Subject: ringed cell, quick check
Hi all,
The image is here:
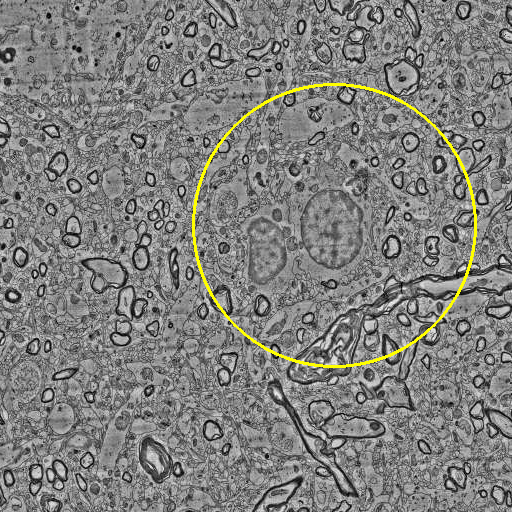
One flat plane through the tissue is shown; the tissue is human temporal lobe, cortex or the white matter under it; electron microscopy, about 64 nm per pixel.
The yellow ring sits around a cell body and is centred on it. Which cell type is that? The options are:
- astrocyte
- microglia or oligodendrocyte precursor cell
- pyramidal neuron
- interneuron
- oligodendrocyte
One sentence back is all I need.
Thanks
That ringed cell is an oligodendrocyte.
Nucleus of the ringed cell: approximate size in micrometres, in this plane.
The nucleus measures about 5 by 4 micrometres in this plane.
